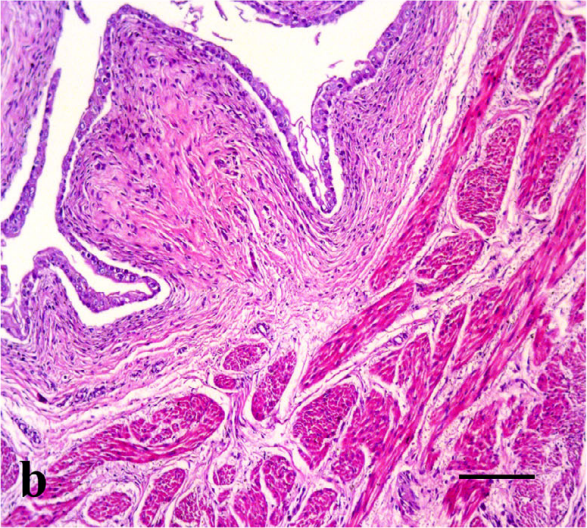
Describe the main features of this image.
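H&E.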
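A wall made of distinct layers. Along the lumen a folded epithelium several cells thick forms the lining, with rounded nuclei in its cells. Beneath it lies a broad zone of loose, paler pink connective tissue with scattered elongated nuclei. Deeper still, thick bundles of intensely pink smooth muscle cut in various planes are separated by thin strands of connective tissue. This arrangement of a stratified lining, a connective tissue layer and a thick muscular coat is that of the urinary bladder wall.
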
